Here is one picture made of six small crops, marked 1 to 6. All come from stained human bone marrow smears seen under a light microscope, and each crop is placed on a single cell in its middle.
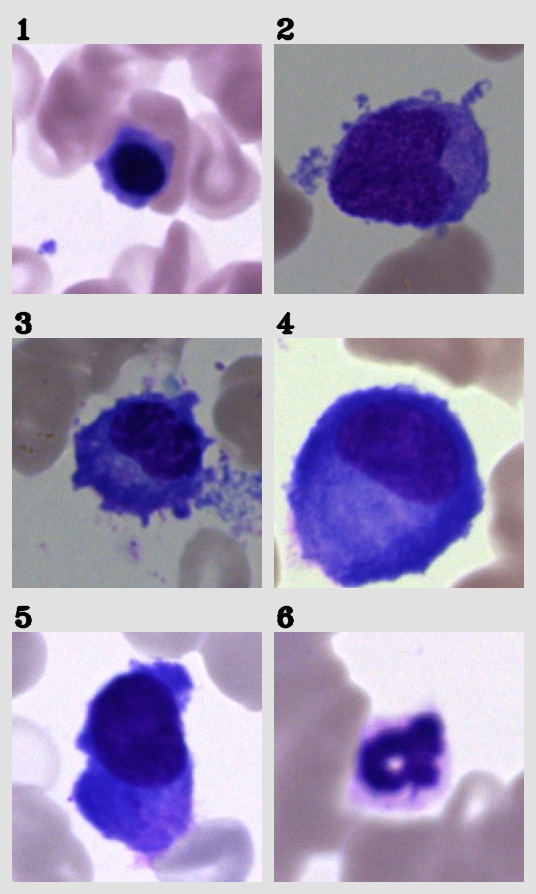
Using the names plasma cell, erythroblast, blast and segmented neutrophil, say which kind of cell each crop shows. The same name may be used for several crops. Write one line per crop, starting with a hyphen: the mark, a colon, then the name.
- 1: erythroblast
- 2: blast
- 3: plasma cell
- 4: plasma cell
- 5: plasma cell
- 6: segmented neutrophil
